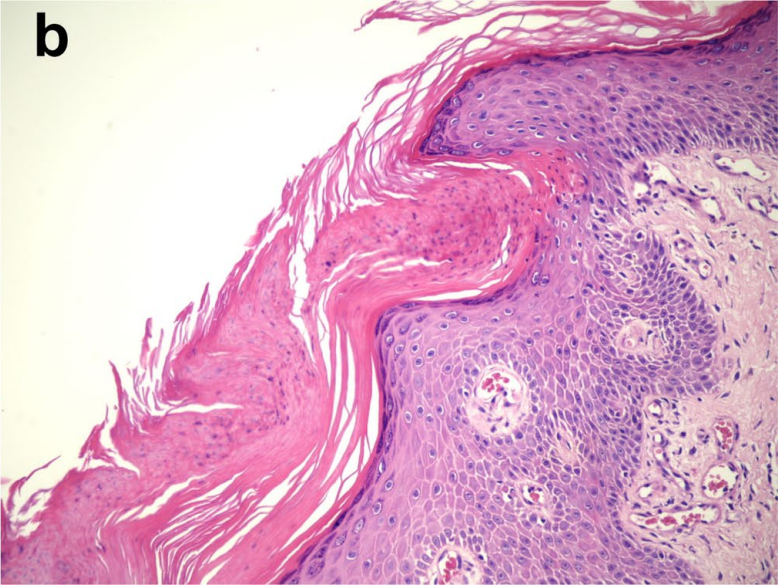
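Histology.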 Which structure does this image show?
cornoid lamellae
